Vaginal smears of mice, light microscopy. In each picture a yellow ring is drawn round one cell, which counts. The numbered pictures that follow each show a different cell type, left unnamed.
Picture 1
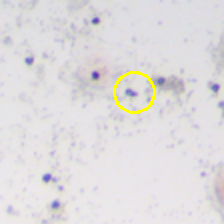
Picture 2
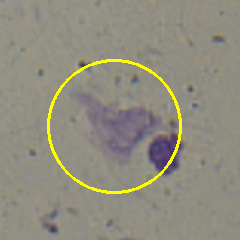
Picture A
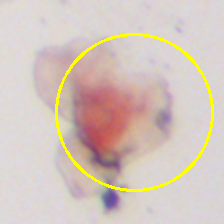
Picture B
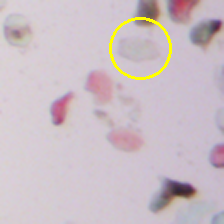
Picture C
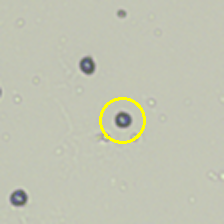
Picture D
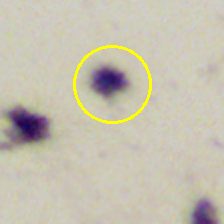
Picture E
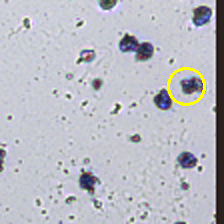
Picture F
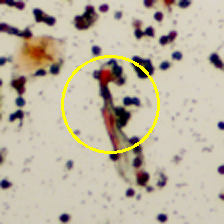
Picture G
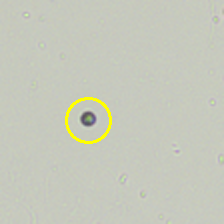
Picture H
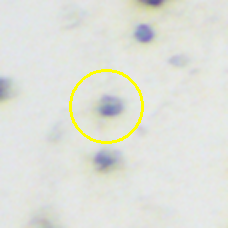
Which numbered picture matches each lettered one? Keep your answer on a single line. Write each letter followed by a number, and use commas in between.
A 2, B 2, C 1, D 1, E 1, F 2, G 1, H 1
